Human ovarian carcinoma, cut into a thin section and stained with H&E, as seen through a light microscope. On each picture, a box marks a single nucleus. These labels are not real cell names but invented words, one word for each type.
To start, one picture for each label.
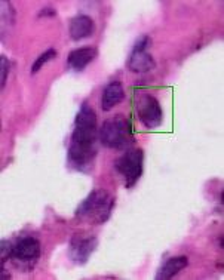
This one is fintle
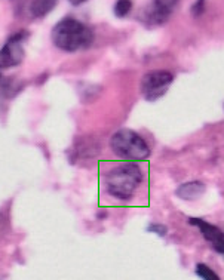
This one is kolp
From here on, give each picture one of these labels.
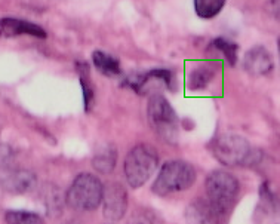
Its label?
kolp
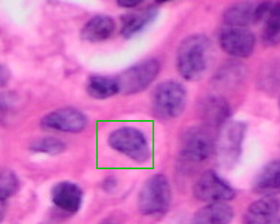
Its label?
kolp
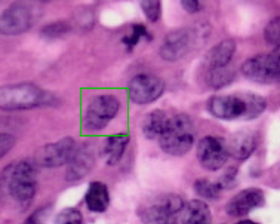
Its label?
fintle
